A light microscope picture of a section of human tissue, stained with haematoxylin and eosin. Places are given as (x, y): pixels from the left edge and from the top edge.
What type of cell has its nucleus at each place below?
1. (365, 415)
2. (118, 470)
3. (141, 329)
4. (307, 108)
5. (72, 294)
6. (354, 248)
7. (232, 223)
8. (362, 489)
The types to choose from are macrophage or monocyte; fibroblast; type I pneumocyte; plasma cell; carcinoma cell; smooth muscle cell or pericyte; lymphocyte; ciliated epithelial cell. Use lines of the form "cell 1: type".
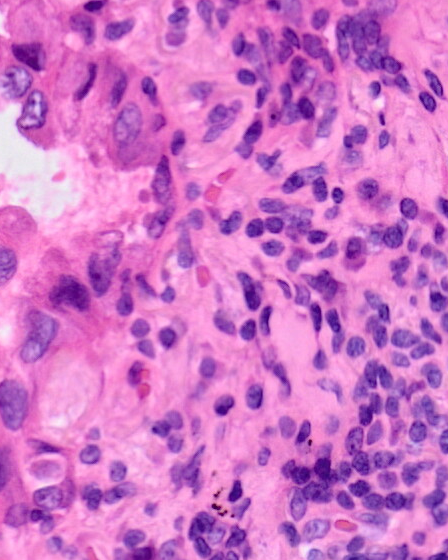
cell 1: lymphocyte
cell 2: lymphocyte
cell 3: lymphocyte
cell 4: plasma cell
cell 5: carcinoma cell
cell 6: plasma cell
cell 7: lymphocyte
cell 8: lymphocyte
